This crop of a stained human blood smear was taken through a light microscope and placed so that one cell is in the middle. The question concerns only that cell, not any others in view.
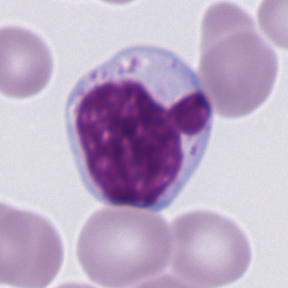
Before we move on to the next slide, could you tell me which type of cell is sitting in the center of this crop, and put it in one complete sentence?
By type, the central cell of the crop is a large granular lymphocyte.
